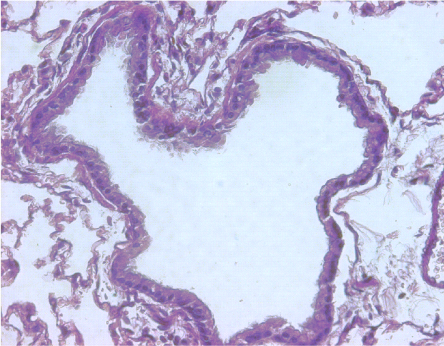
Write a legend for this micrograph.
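An airway in lung tissue with a folded outline is lined by a columnar epithelium that stains a fairly uniform pale pink-purple. Few cells of the lining show intense dark magenta staining. A thin pink layer of connective tissue and smooth muscle surrounds the epithelium, and loose connective tissue and delicate alveolar walls lie outside it.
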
